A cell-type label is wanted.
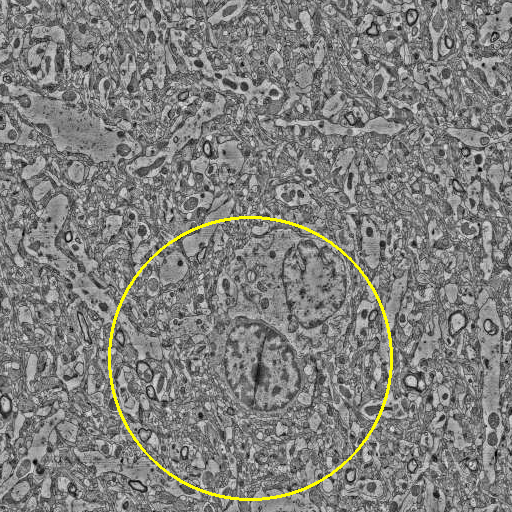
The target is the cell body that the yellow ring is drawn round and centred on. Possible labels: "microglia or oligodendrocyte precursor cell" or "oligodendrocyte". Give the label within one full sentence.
Of the labels offered, the cell in the middle of the yellow ring is an oligodendrocyte.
